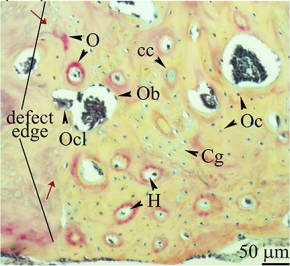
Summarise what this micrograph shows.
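Round and oval canals, some of them Haversian canals, run through the matrix; many are rimmed by a bright red seam of osteoid. Some canals hold dark, granular contents. A few cells line the canal walls where new matrix is being laid down.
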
